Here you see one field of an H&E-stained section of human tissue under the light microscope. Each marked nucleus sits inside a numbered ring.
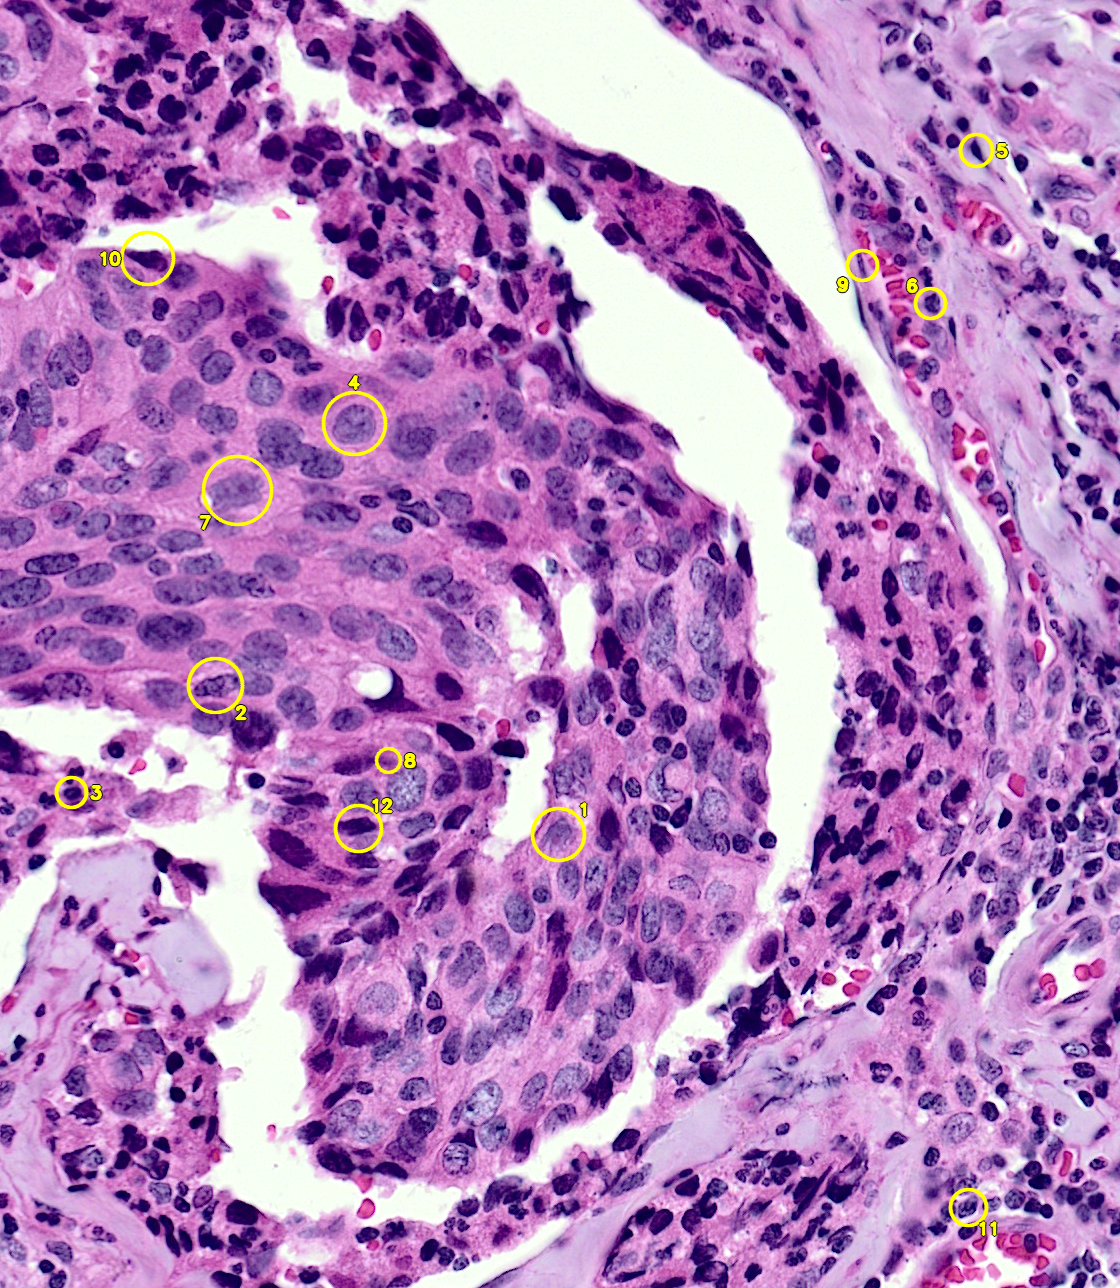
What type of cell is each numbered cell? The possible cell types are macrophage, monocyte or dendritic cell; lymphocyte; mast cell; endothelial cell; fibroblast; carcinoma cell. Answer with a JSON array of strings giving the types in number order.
["carcinoma cell", "carcinoma cell", "lymphocyte", "carcinoma cell", "lymphocyte", "lymphocyte", "carcinoma cell", "carcinoma cell", "endothelial cell", "carcinoma cell", "lymphocyte", "carcinoma cell"]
